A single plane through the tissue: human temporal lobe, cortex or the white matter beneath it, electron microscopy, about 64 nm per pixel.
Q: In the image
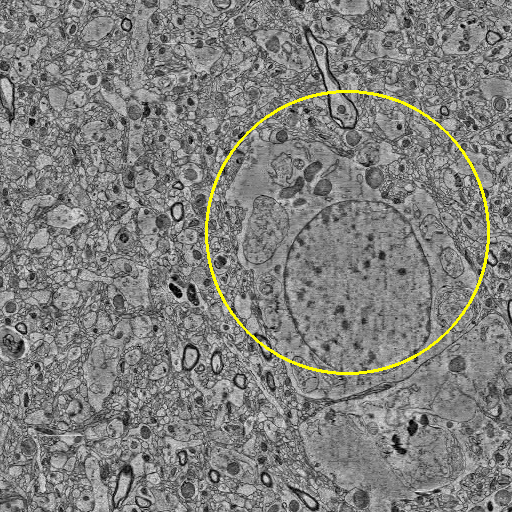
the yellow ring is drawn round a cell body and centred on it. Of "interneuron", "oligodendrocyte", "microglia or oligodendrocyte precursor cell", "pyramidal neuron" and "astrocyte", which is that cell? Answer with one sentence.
The cell centred in the ring is an astrocyte.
